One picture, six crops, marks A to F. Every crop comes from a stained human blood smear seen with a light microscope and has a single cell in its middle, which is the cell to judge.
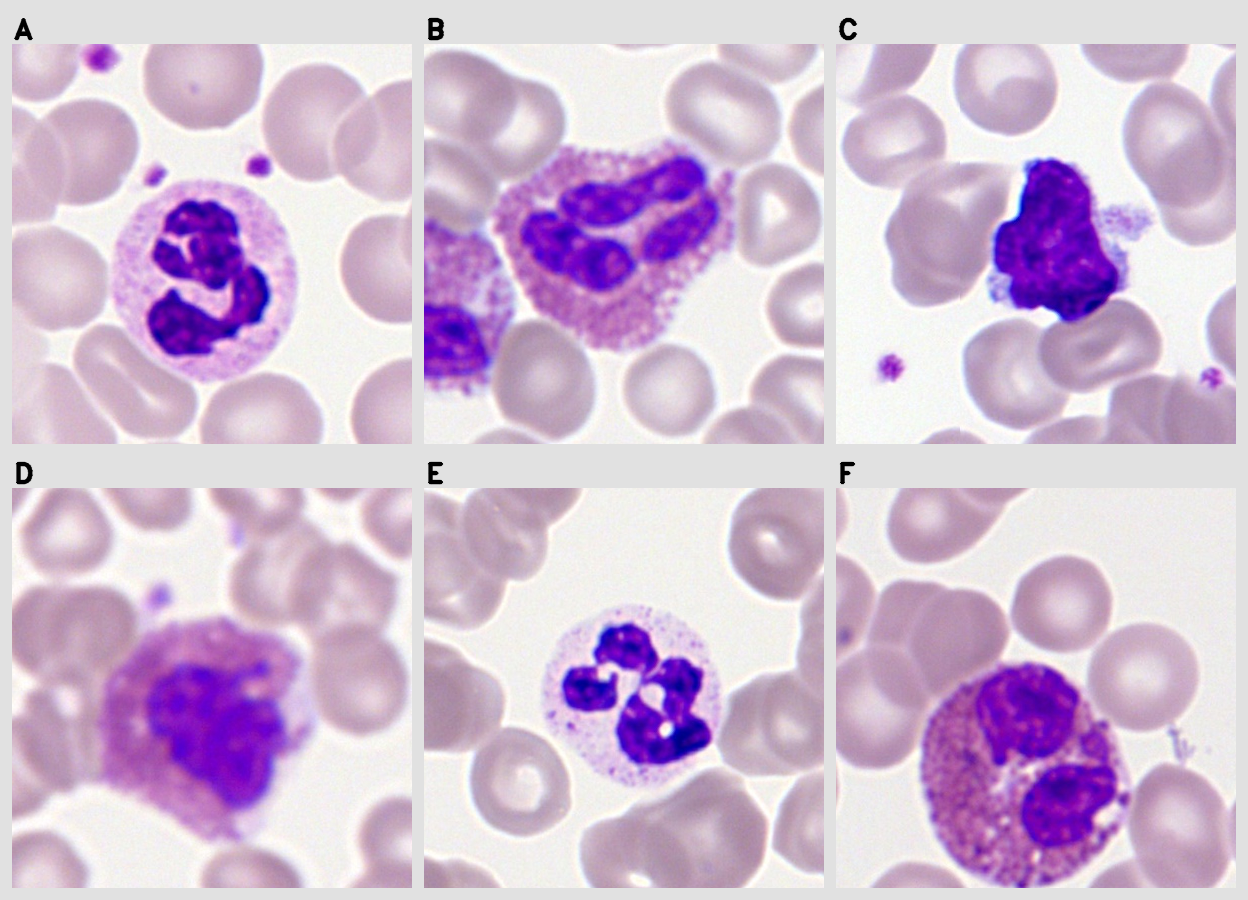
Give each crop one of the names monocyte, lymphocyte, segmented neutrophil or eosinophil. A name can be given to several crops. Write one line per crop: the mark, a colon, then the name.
A: segmented neutrophil
B: eosinophil
C: lymphocyte
D: eosinophil
E: segmented neutrophil
F: eosinophil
